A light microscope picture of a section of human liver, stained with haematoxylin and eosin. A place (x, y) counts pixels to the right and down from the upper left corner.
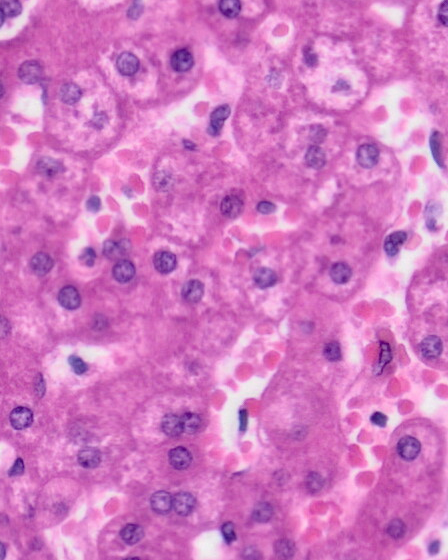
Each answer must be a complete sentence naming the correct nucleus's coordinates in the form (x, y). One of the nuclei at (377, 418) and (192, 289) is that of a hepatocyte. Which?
The nucleus located at (192, 289) is the one held within a hepatocyte.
